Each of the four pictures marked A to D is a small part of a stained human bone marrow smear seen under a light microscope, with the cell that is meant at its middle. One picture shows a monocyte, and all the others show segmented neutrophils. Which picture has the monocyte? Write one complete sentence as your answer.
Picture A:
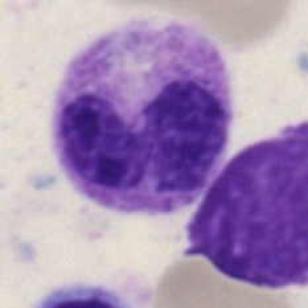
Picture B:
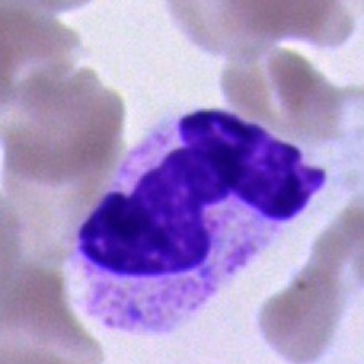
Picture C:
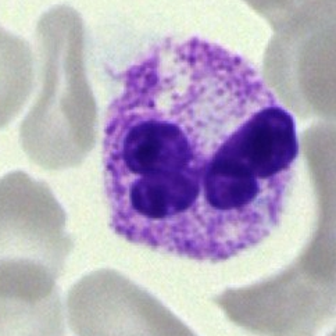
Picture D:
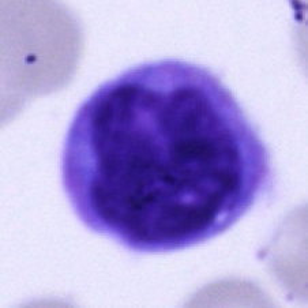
The cell in picture D is the monocyte.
